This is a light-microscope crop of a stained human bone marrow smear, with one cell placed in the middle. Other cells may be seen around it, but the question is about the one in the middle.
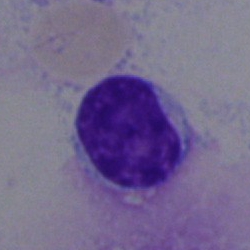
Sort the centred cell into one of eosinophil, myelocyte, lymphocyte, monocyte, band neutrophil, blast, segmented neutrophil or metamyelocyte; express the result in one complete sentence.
What the crop centres on is a lymphocyte.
